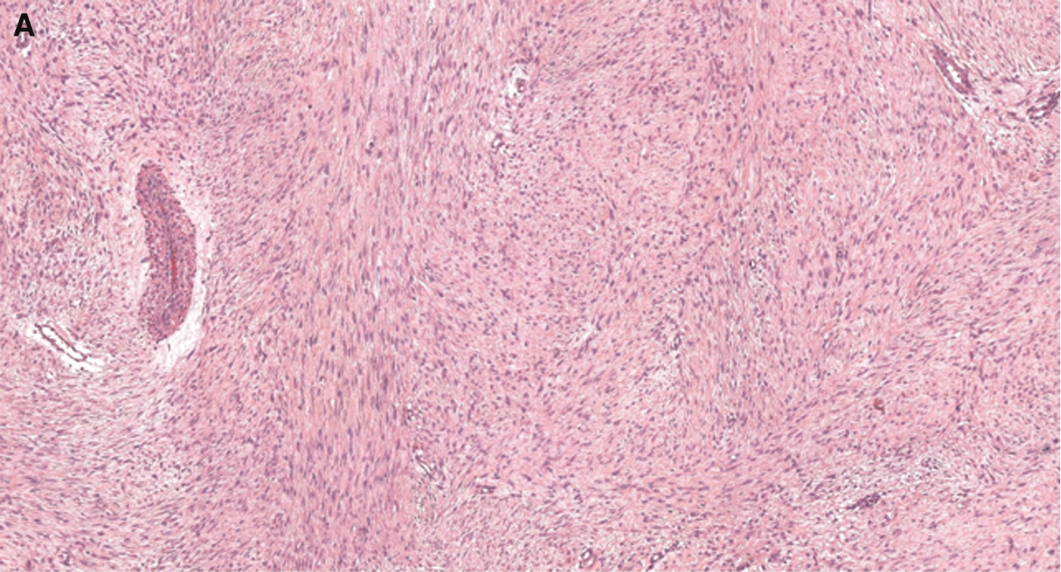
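A spindle-cell tumour made of bland, uniform fibroblast-like cells with slender, elongated nuclei set in pink collagenous stroma. The cells form long, sweeping fascicles that run in different directions across the field. Scattered small and medium-sized vessels, one with a prominent wall, lie between the bundles.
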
